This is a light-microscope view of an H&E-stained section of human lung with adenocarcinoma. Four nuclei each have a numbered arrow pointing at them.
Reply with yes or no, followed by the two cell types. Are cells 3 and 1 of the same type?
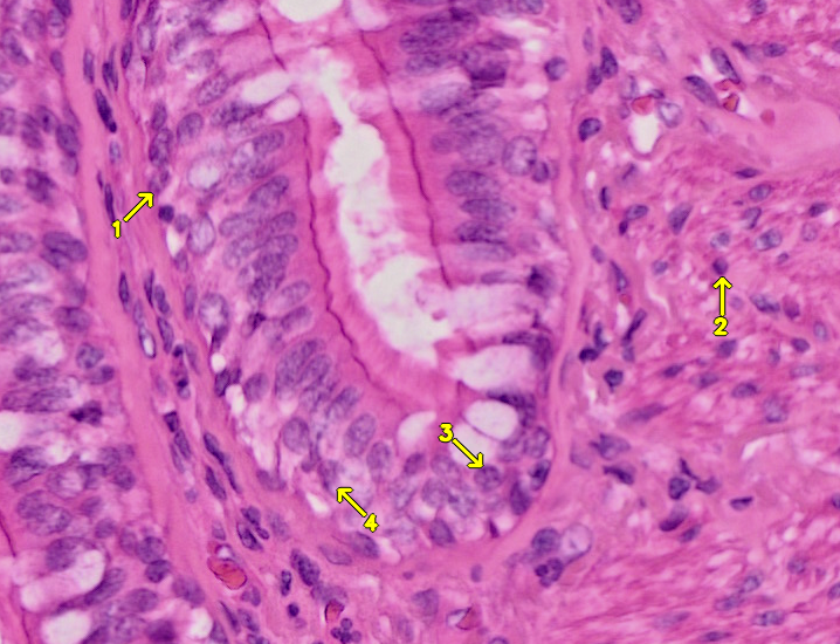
Yes, just like cell 3, cell 1 is one of the ciliated epithelial cells.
